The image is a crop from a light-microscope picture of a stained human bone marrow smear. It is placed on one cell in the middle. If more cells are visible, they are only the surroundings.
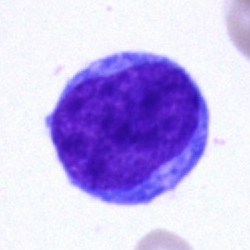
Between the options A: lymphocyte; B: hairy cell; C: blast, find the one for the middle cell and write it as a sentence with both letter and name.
Well, the cell in the middle is a blast, making option C right.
